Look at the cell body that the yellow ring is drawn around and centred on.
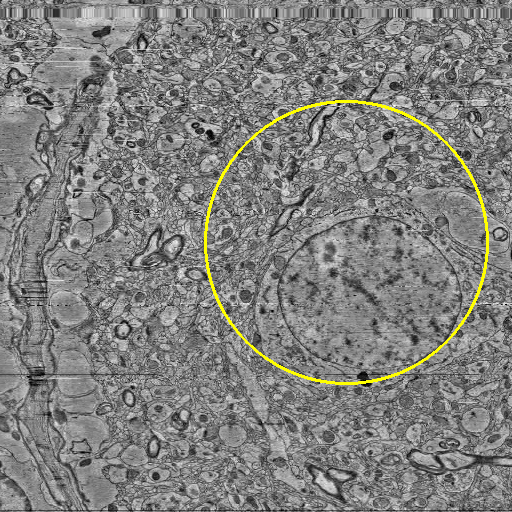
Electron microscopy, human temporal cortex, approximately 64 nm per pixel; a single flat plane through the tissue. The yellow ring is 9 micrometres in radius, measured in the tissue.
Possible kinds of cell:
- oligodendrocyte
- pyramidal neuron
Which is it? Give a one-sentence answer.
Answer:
The centred cell body is that of a pyramidal neuron.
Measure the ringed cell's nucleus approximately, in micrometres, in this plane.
The ringed cell's nucleus is about 11 micrometres across in this plane.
